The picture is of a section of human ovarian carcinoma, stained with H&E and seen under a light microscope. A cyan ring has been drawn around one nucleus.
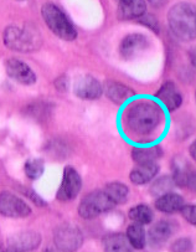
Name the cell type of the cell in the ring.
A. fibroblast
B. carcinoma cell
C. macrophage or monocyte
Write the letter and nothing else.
B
